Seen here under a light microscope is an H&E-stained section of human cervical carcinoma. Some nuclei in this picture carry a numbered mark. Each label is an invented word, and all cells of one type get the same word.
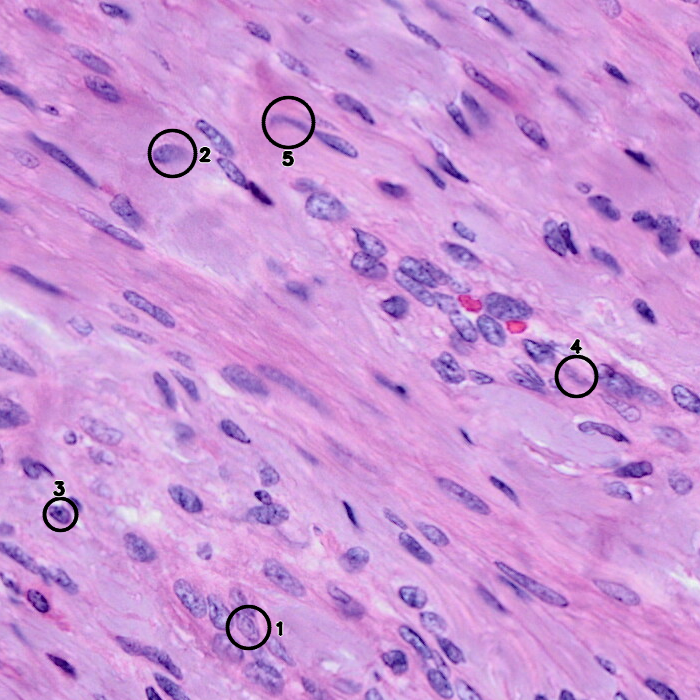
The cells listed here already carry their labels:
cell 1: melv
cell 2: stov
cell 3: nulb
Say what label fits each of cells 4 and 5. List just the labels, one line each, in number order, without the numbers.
melv
stov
